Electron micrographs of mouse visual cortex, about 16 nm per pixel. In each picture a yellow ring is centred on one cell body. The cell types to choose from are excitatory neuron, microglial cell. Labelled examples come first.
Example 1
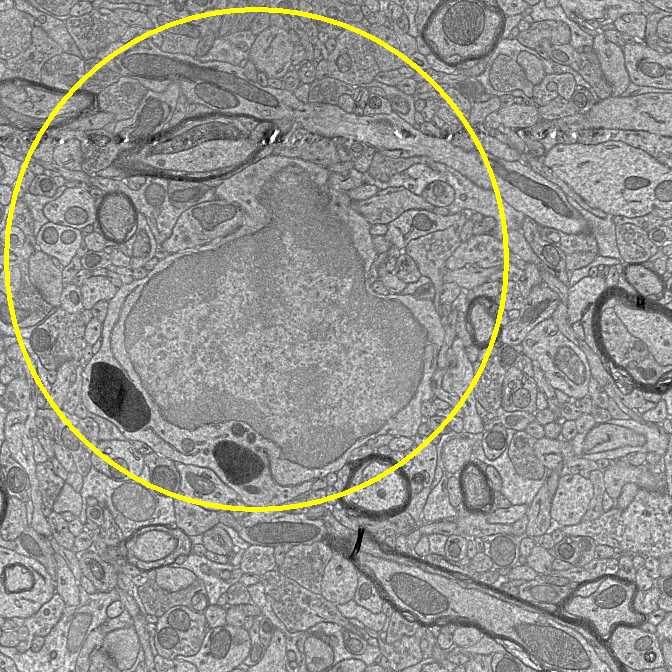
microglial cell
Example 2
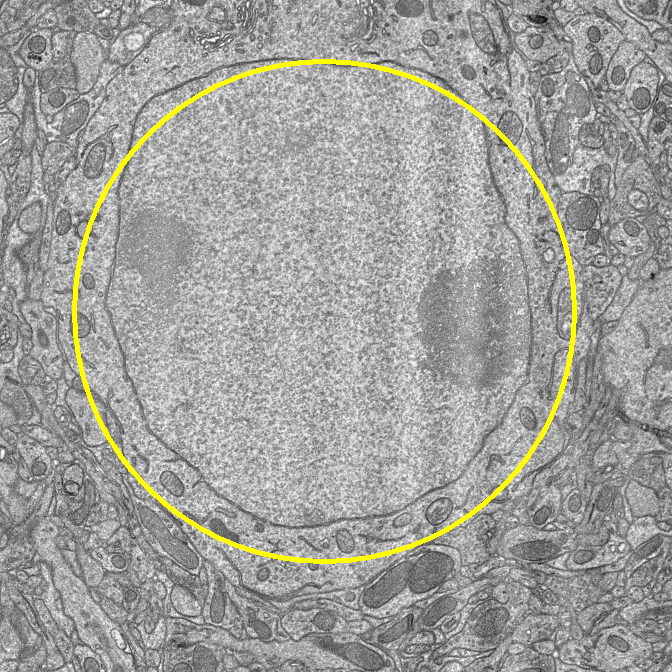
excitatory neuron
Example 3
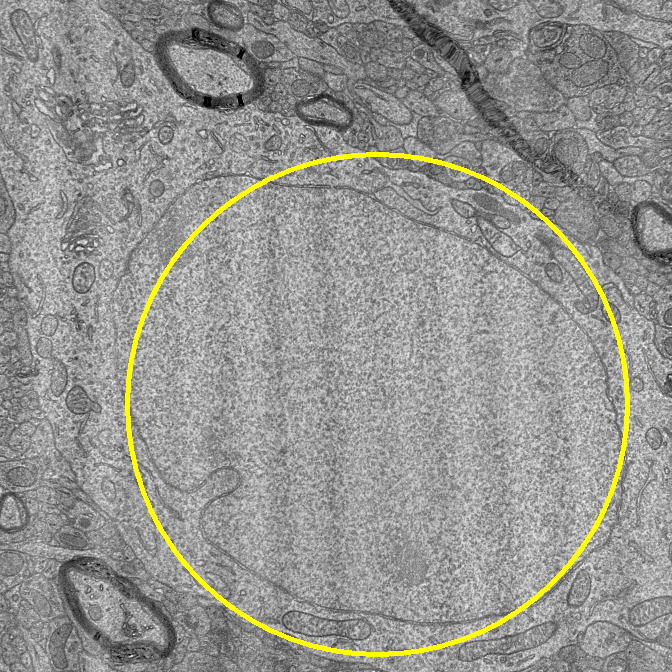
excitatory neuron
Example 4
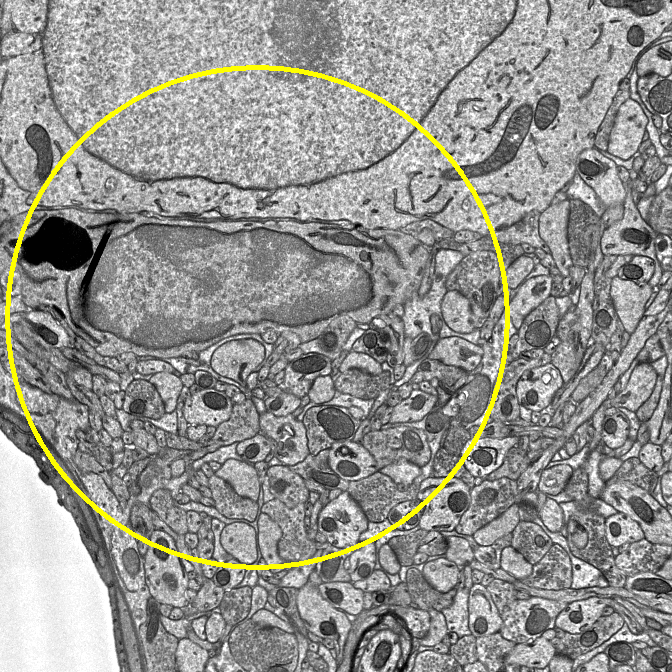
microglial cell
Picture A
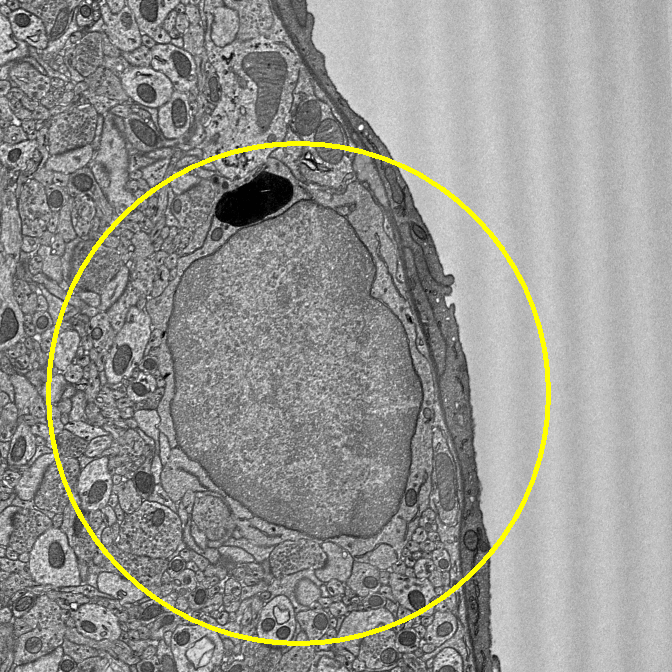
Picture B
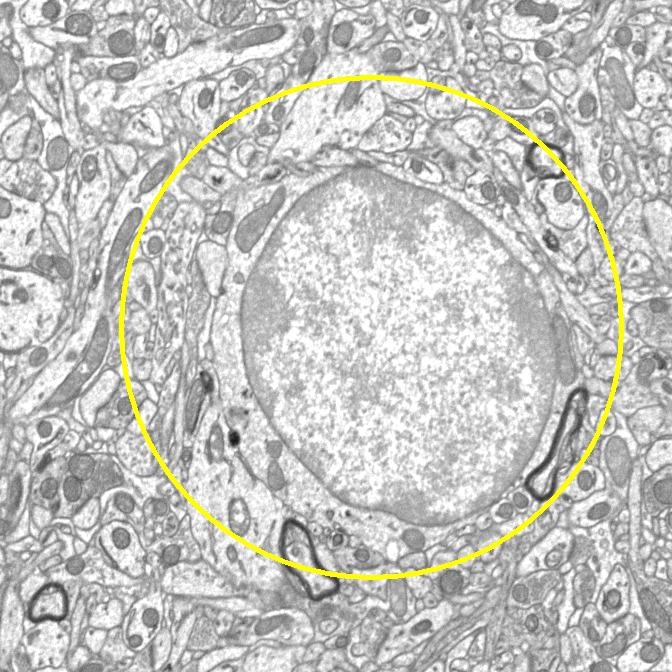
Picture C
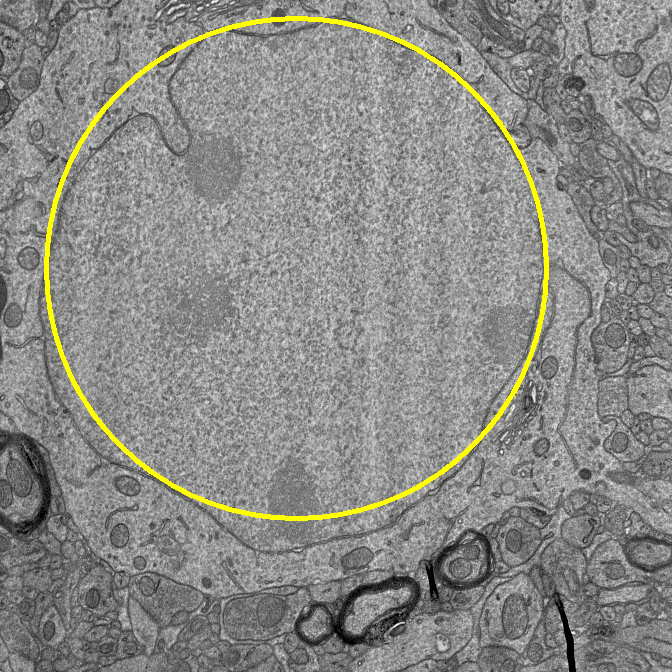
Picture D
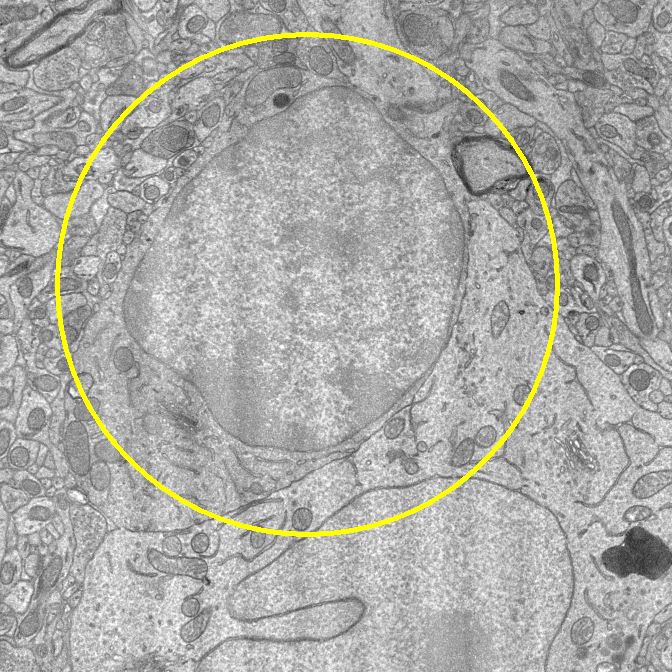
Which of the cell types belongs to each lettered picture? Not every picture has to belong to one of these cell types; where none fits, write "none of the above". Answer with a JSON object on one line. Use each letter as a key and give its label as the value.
{"A": "microglial cell", "B": "none of the above", "C": "excitatory neuron", "D": "none of the above"}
